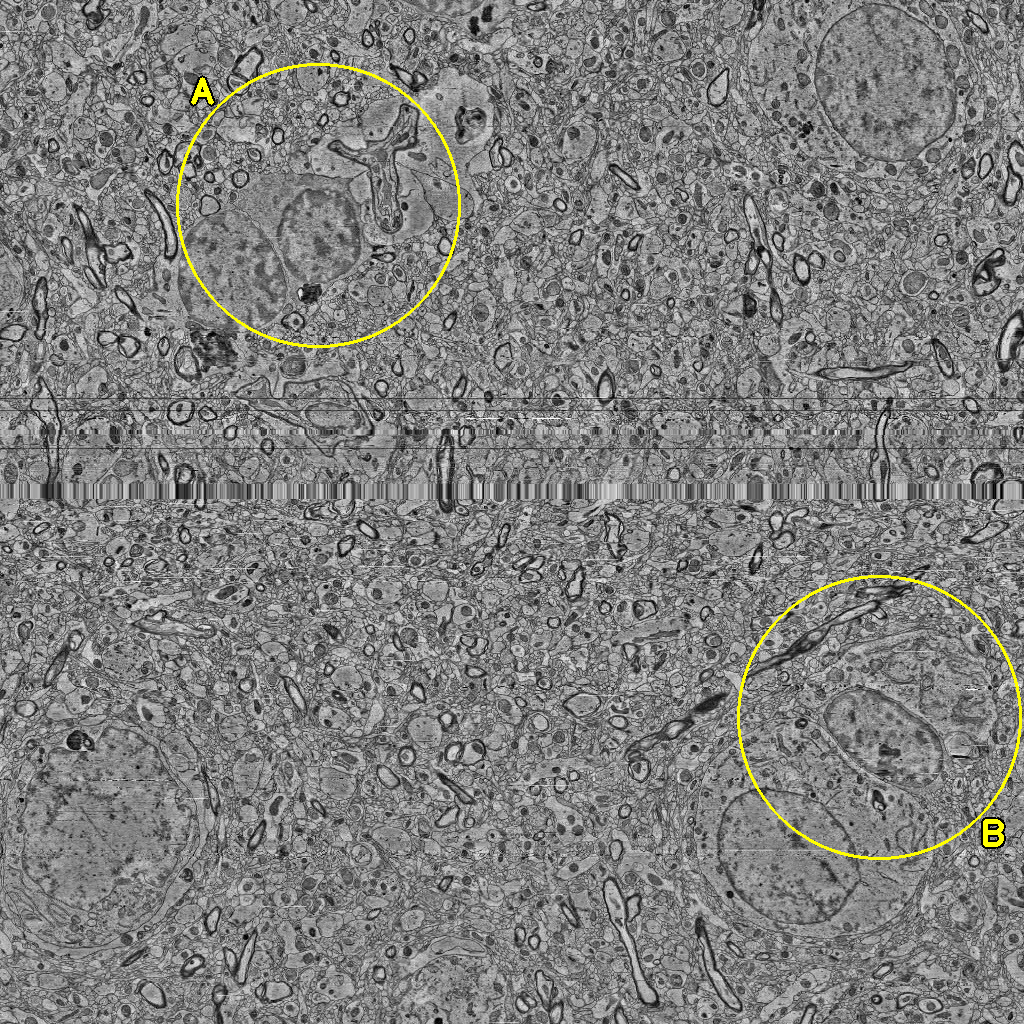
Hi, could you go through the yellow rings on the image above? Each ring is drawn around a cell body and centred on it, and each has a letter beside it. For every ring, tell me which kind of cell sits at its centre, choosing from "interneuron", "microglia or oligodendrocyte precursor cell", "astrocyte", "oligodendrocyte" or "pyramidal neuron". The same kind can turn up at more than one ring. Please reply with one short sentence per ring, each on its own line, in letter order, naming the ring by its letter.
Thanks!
Ring A is centred on an oligodendrocyte.
Ring B is centred on an oligodendrocyte.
